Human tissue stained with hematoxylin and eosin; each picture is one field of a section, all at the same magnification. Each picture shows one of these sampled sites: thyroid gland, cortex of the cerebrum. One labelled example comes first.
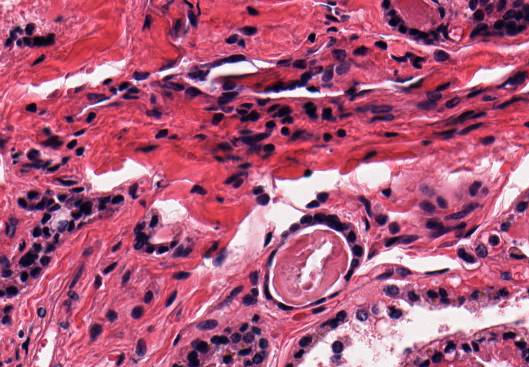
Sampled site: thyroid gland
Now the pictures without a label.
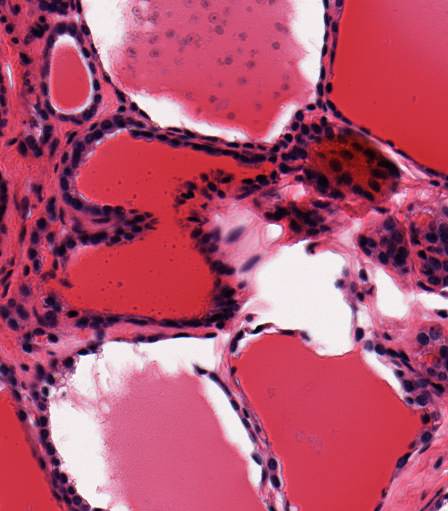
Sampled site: thyroid gland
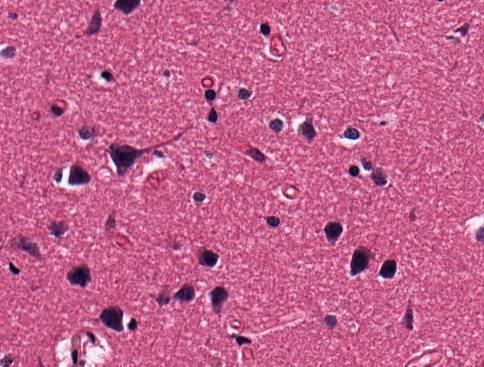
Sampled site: cortex of the cerebrum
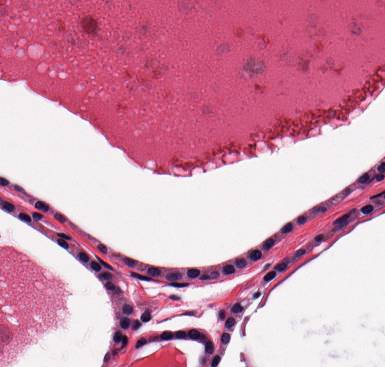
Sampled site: thyroid gland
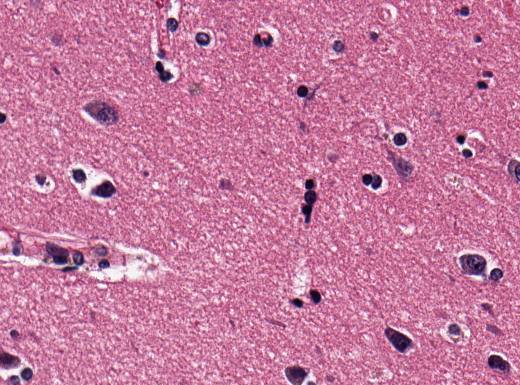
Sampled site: cortex of the cerebrum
